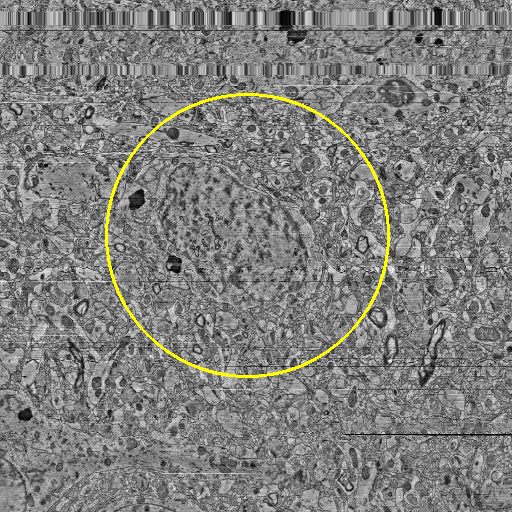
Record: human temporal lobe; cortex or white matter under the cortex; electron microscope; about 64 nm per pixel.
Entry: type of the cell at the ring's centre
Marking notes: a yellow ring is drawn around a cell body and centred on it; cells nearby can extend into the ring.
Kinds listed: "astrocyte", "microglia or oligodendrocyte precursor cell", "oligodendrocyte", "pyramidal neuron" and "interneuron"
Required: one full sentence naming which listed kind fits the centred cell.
My entry names an interneuron as the cell whose body the yellow ring centres on.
